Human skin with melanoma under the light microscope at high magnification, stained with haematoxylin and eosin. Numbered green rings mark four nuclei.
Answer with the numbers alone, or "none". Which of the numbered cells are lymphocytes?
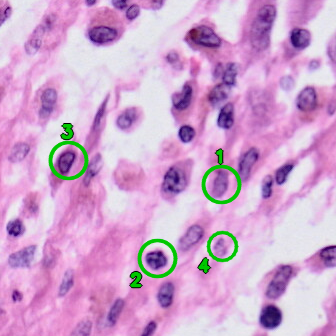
2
